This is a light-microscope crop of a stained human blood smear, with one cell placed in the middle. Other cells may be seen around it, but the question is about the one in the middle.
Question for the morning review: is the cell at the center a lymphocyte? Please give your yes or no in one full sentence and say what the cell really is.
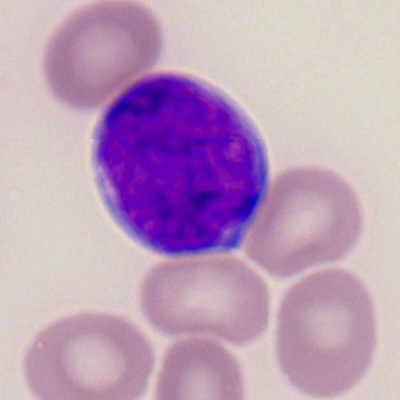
No, the middle of the crop holds a myeloblast, not a lymphocyte.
